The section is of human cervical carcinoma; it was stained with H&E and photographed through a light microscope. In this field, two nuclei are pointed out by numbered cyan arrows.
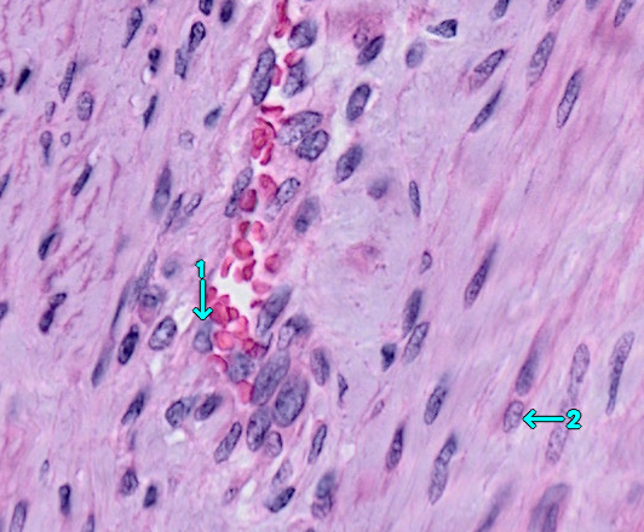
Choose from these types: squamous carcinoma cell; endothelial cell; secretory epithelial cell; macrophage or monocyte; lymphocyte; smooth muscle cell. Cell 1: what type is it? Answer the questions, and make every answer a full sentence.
Corresponding to an endothelial cell is the cell labelled 1.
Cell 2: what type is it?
Number 2 is placed on a smooth muscle cell here.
